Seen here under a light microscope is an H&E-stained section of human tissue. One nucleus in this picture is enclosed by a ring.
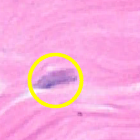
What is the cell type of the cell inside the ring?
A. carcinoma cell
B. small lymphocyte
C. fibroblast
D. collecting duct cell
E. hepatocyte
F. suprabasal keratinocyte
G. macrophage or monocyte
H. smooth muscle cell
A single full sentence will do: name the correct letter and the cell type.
Best answer: option C, with the cell inside the ring being a fibroblast.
